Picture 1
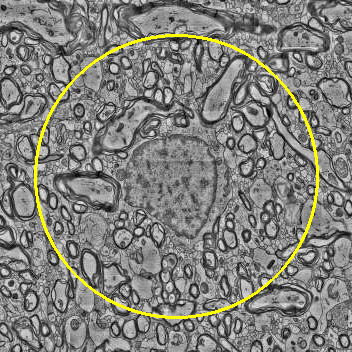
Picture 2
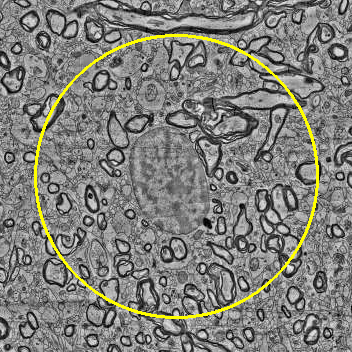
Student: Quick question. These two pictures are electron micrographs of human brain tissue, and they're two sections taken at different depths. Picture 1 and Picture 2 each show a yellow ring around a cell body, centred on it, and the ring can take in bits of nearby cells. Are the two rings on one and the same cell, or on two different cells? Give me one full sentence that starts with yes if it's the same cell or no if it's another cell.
No, the two yellow rings each circle a different cell.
